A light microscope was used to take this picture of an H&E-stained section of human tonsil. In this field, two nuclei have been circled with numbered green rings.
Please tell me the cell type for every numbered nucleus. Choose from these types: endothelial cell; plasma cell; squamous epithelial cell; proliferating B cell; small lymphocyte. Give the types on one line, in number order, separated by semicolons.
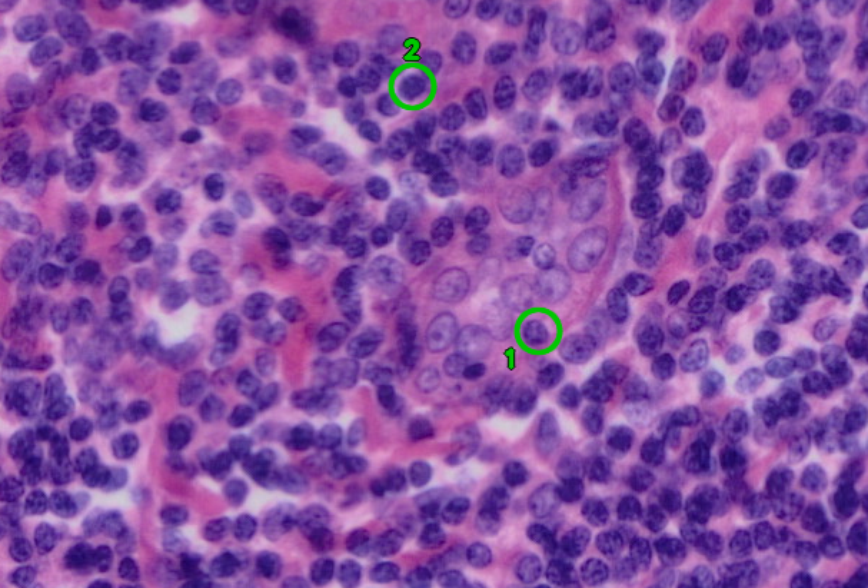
endothelial cell; small lymphocyte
